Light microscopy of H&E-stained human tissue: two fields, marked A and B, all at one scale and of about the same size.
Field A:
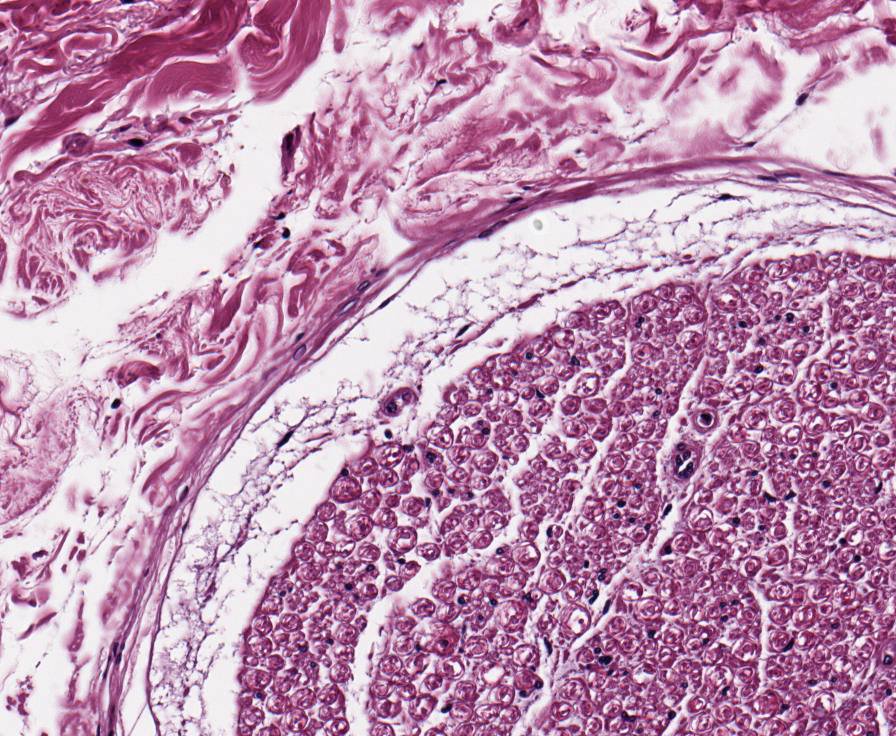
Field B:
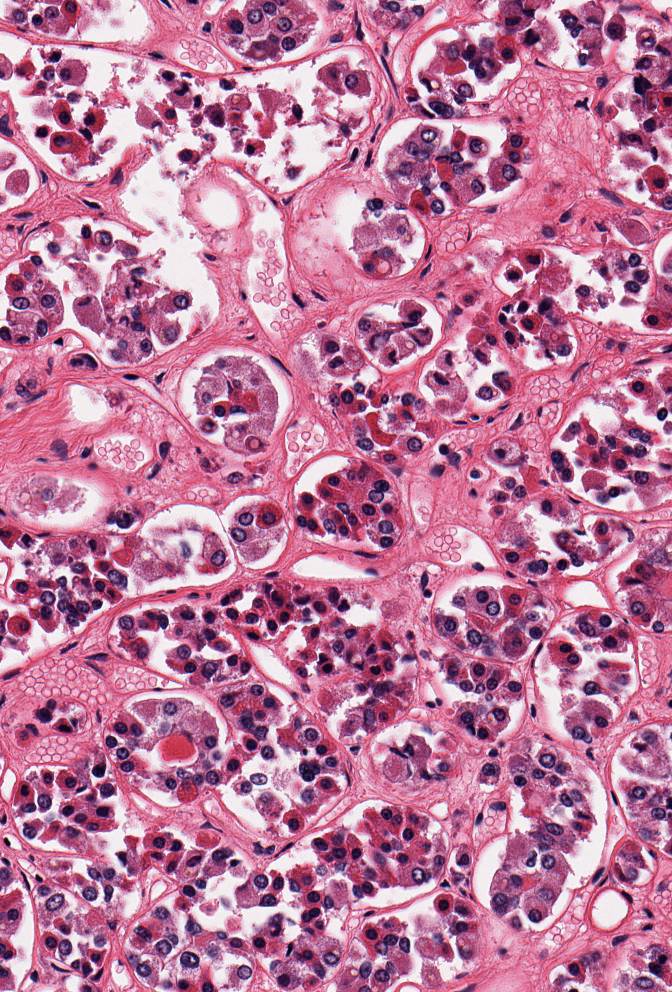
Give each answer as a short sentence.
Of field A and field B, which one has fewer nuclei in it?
There are fewer nuclei in field A.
